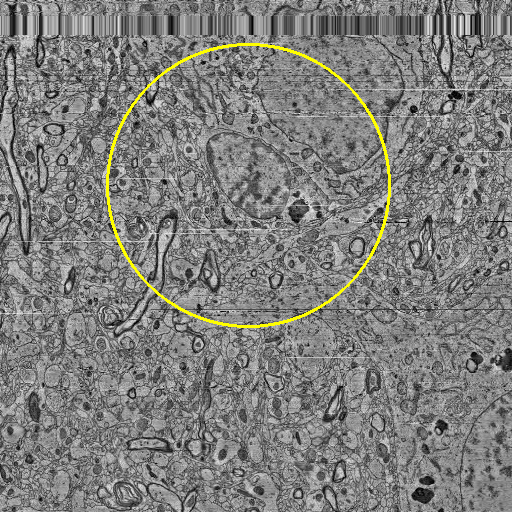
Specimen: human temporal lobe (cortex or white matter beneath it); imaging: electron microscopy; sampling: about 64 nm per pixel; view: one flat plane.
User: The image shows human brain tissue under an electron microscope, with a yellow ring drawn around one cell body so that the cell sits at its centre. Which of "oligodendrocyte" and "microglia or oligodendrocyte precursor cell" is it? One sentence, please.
At the centre of the ring sits an oligodendrocyte.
